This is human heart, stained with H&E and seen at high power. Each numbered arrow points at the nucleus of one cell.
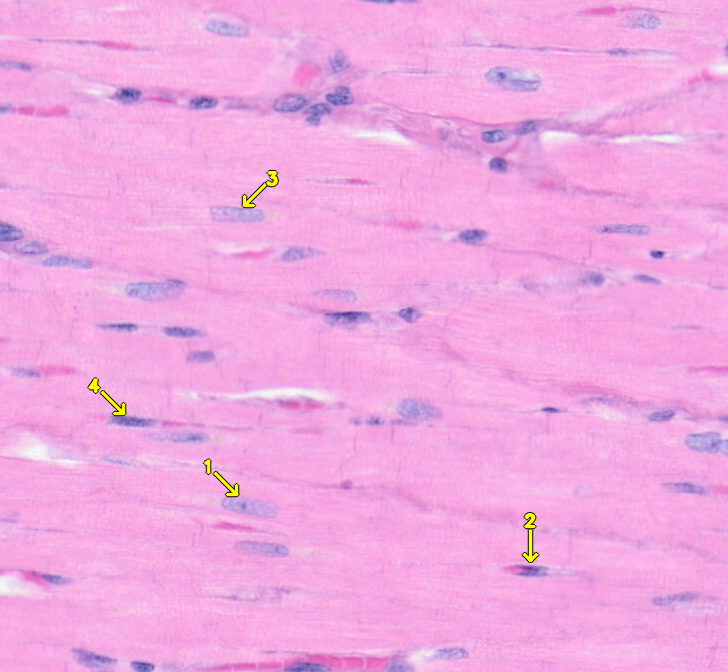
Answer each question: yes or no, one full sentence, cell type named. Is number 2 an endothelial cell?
Yes, in this section the cell numbered 2 is an endothelial cell.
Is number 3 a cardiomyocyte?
Yes, the cell to which number 3 refers is a cardiomyocyte.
